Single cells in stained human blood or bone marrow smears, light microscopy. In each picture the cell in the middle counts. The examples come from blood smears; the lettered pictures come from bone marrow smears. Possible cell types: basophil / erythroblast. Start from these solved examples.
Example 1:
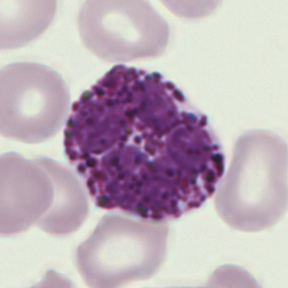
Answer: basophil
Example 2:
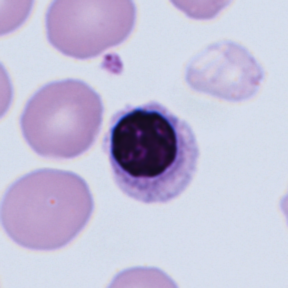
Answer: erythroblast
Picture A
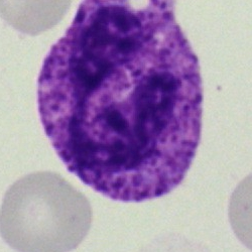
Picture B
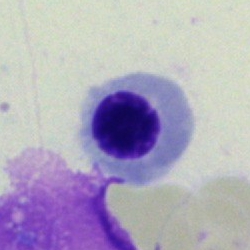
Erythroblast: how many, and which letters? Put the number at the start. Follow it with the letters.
1, namely B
